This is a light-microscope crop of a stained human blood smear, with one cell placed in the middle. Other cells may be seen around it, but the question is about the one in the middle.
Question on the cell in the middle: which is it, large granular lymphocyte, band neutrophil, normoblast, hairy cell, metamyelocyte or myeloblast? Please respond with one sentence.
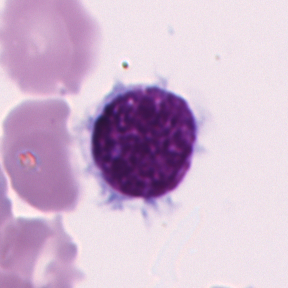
In the centre of this crop there is a hairy cell.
